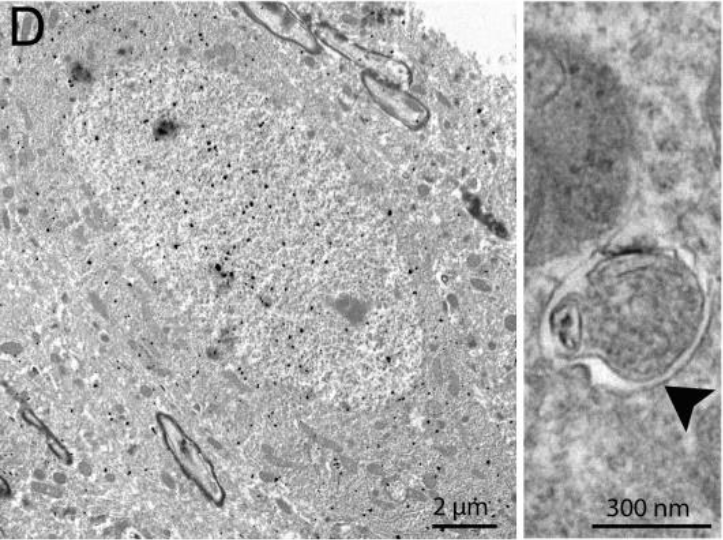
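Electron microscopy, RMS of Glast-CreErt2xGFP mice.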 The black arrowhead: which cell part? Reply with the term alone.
Autophagosome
